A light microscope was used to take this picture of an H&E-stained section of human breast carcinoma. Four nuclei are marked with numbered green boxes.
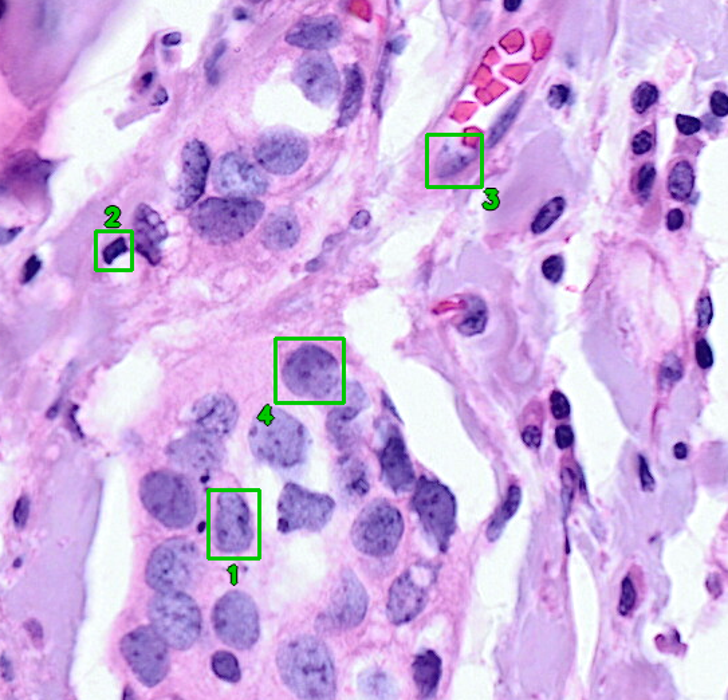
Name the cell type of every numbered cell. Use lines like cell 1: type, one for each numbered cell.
cell 1: carcinoma cell
cell 2: lymphocyte
cell 3: endothelial cell
cell 4: carcinoma cell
